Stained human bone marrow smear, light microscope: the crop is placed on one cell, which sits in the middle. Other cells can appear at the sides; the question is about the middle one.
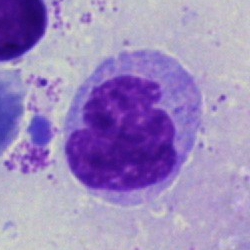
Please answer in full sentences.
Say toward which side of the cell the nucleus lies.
Seen from the middle of the cell, the nucleus lies toward the lower left.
